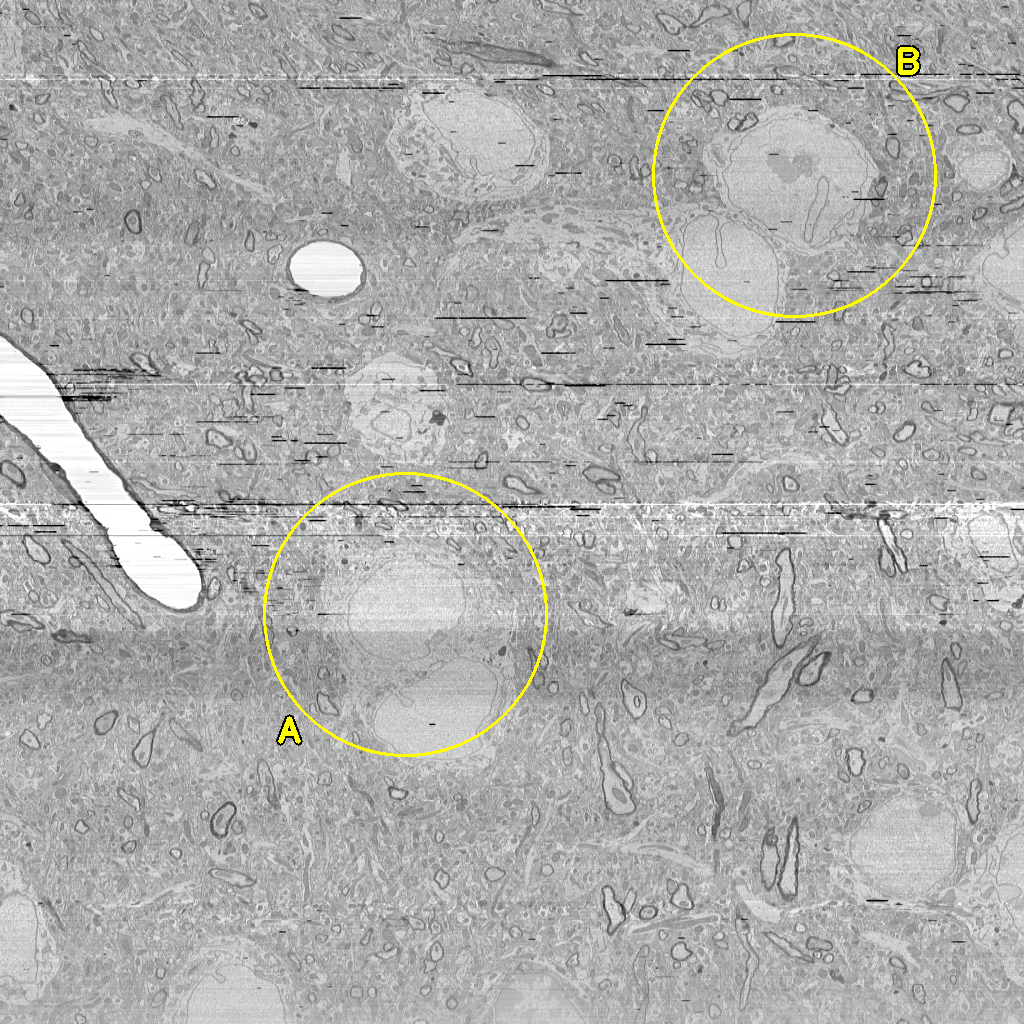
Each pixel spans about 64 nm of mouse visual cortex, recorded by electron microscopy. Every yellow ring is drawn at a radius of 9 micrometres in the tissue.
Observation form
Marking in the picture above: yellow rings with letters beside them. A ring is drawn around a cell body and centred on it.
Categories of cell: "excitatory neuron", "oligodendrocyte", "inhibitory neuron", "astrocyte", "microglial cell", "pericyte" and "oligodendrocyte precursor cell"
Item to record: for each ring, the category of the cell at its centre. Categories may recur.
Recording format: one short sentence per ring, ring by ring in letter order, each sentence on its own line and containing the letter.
Ring A is placed on an oligodendrocyte.
Ring B is placed on an excitatory neuron.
